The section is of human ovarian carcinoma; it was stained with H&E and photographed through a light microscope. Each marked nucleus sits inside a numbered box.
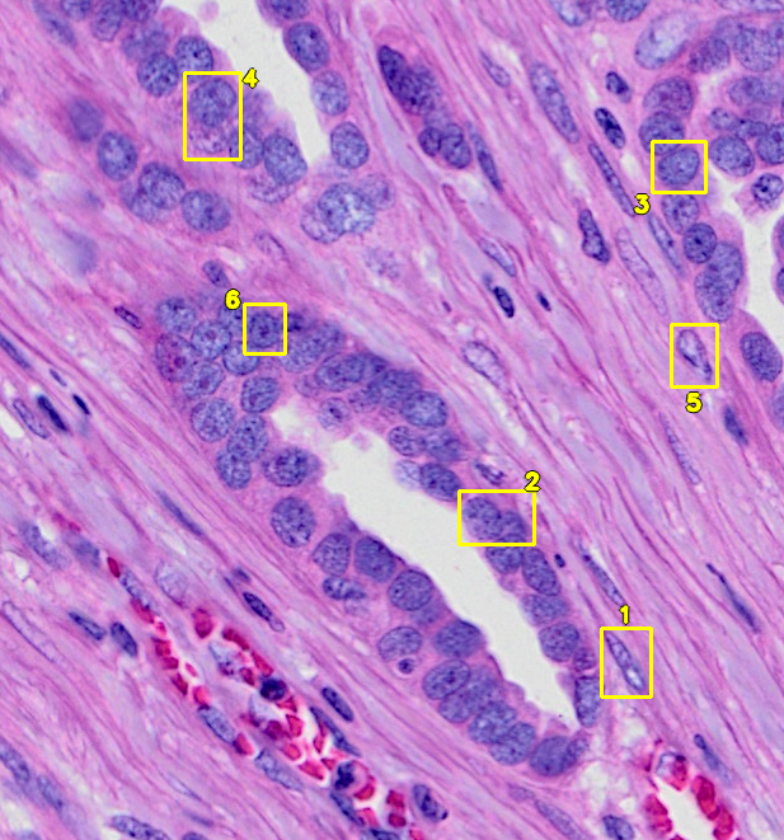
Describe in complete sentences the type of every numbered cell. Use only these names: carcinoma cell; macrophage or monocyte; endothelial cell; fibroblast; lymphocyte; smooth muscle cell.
Cell 1 is a fibroblast, cell 2 is a carcinoma cell, cell 3 is a carcinoma cell, cell 4 is a carcinoma cell, cell 5 is a fibroblast and cell 6 is a carcinoma cell.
